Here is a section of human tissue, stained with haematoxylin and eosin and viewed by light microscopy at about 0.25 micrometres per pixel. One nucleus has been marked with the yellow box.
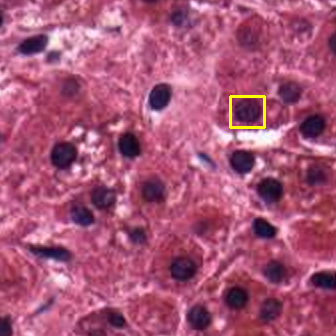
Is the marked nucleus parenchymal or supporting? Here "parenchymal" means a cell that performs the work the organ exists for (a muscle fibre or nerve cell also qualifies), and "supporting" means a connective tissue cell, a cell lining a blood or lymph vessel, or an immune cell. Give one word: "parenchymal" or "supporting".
parenchymal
